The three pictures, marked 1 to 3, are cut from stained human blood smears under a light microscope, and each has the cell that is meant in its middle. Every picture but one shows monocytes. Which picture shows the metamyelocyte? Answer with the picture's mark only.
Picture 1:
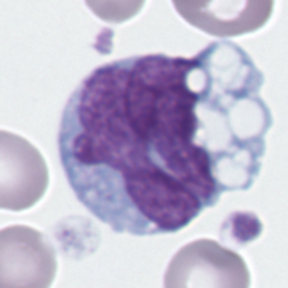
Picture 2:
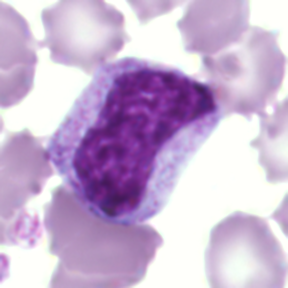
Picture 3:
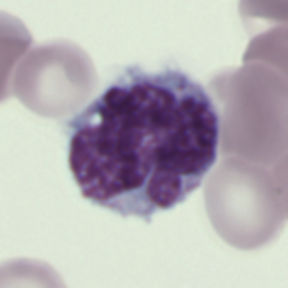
2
